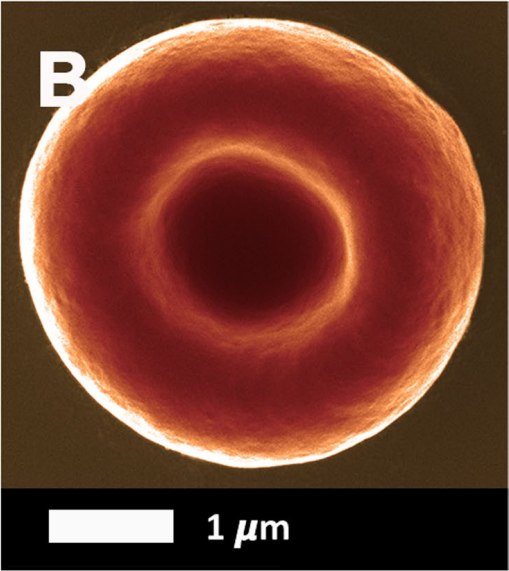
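A single red blood cell is seen face-on as a smooth round disc. Its thick, bright outer rim surrounds a broad, darker central depression outlined by a raised ring, giving the biconcave shape, and it has no nucleus or surface projections.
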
